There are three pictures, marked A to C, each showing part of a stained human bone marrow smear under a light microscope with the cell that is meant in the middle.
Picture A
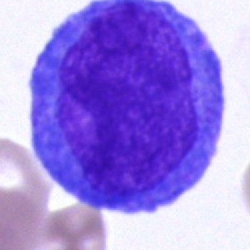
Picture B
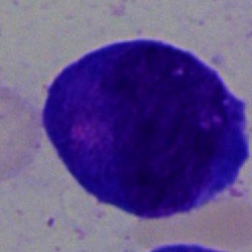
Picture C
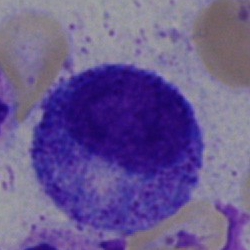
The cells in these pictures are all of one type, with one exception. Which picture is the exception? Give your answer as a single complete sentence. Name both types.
The different one is picture C; it shows a promyelocyte, whereas all the others show blasts.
